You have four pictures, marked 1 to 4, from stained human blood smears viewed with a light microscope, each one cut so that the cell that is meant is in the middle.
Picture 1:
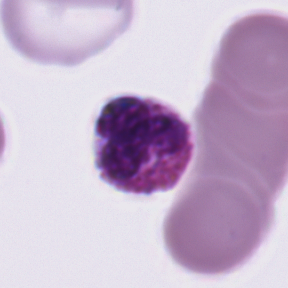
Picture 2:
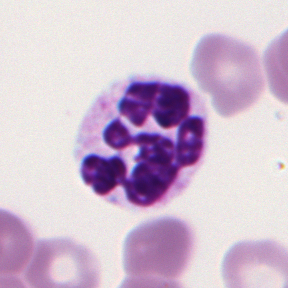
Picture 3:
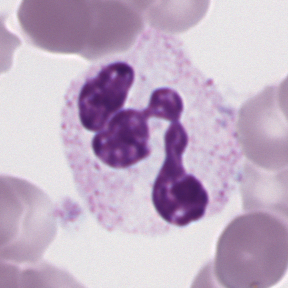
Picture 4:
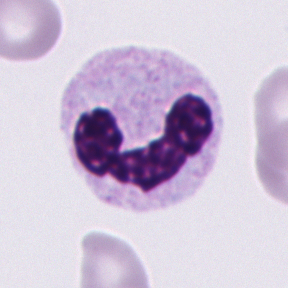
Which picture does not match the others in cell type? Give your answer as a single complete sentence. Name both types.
Picture 1 is the odd one out: it shows an eosinophil, while the others show segmented neutrophils.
